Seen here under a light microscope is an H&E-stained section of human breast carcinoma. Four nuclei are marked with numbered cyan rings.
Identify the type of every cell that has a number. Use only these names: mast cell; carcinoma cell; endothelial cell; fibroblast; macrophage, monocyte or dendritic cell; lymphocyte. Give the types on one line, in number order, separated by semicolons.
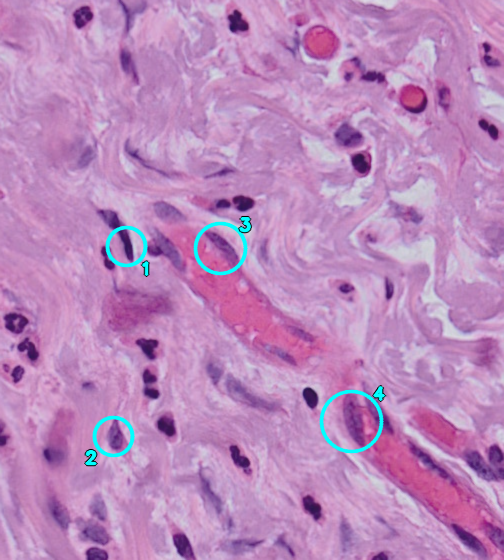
fibroblast; fibroblast; endothelial cell; endothelial cell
